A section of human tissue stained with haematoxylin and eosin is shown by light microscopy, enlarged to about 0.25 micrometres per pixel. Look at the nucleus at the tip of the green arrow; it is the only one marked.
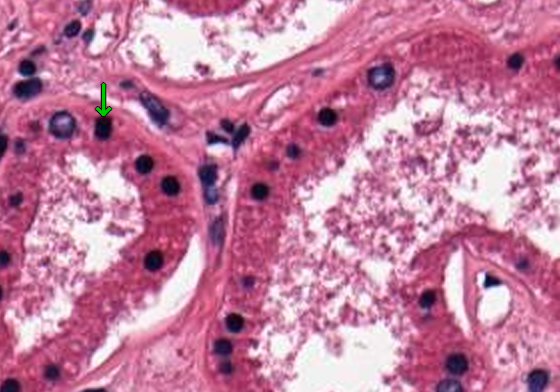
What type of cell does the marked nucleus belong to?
proximal tubule cell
